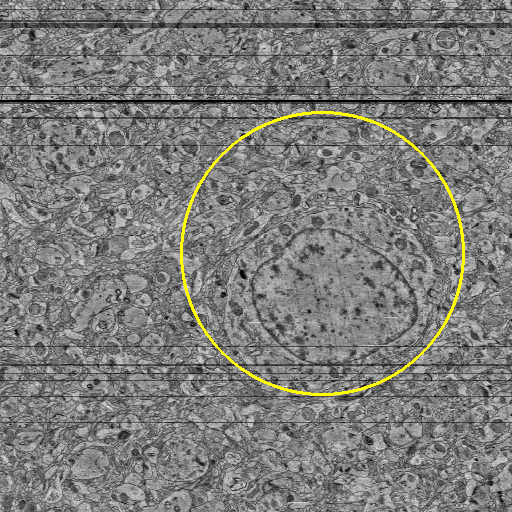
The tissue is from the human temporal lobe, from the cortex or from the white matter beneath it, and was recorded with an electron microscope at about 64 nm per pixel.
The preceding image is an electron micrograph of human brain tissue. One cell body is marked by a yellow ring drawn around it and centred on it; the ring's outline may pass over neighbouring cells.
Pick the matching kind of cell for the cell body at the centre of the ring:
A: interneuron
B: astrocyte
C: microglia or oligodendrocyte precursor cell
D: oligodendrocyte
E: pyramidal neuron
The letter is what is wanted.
E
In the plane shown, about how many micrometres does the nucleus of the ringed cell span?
The nucleus has a long axis of about 11 micrometres and a short axis of about 9 micrometres in this plane.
